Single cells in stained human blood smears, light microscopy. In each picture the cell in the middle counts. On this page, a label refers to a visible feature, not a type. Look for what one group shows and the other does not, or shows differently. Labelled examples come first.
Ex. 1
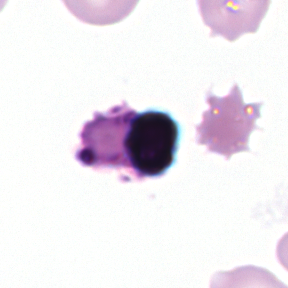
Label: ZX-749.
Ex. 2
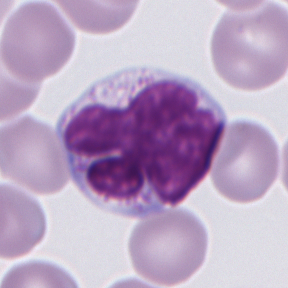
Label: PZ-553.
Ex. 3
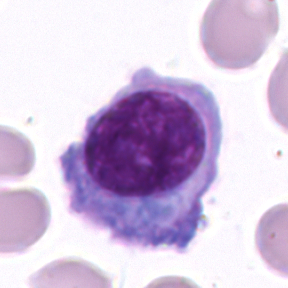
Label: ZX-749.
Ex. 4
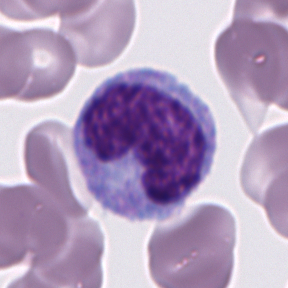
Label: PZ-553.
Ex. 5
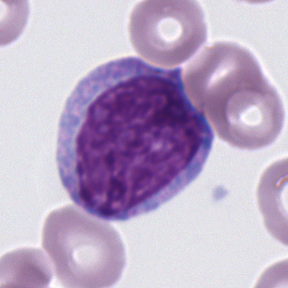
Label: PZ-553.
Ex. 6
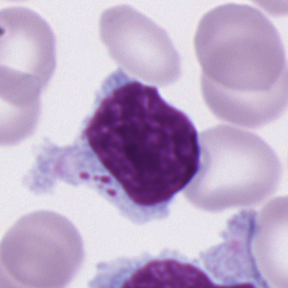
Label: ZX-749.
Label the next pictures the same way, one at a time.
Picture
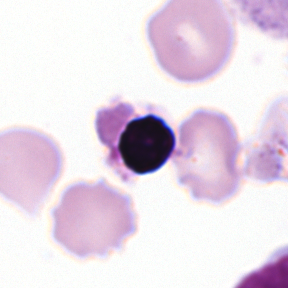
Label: ZX-749.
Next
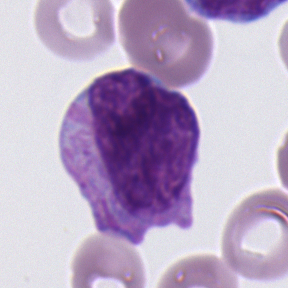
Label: ZX-749.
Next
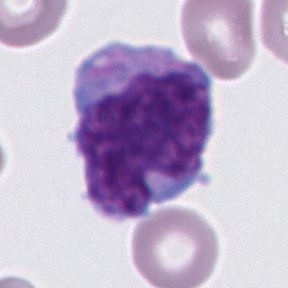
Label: ZX-749.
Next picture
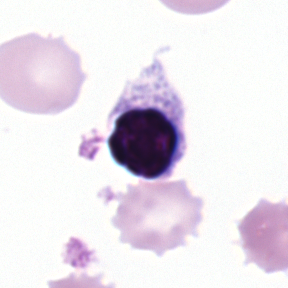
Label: ZX-749.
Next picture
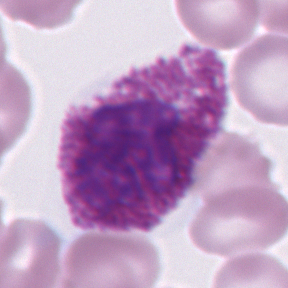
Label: ZX-749.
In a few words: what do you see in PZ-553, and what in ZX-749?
Seen in PZ-553: smooth outline; seen in ZX-749: ragged outline or projections.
